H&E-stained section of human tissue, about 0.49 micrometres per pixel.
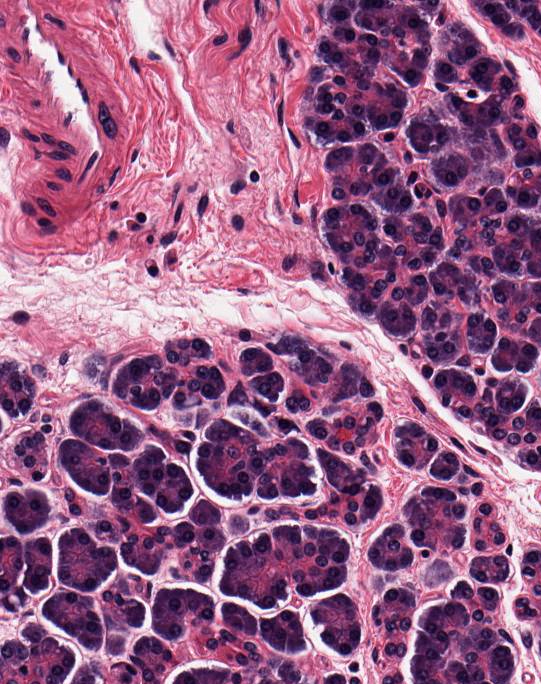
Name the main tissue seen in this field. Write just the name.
exocrine pancreas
